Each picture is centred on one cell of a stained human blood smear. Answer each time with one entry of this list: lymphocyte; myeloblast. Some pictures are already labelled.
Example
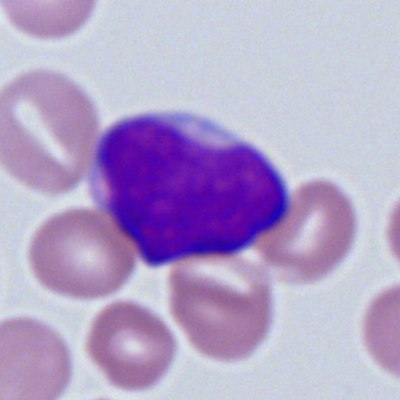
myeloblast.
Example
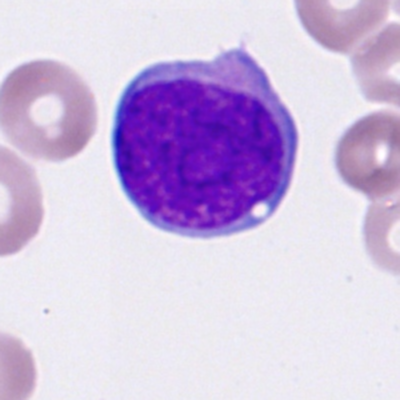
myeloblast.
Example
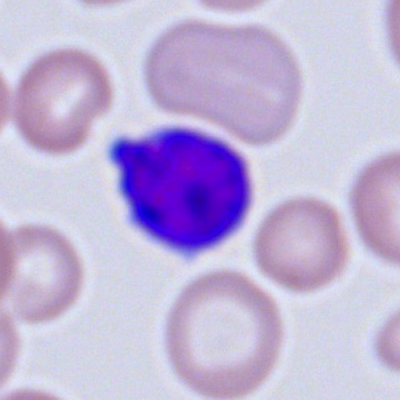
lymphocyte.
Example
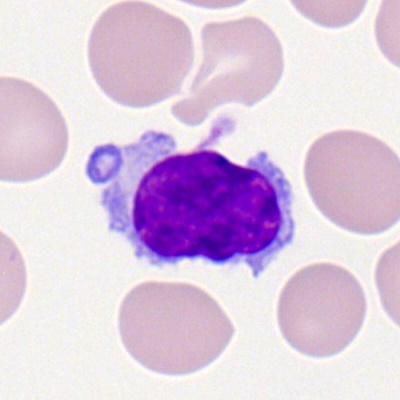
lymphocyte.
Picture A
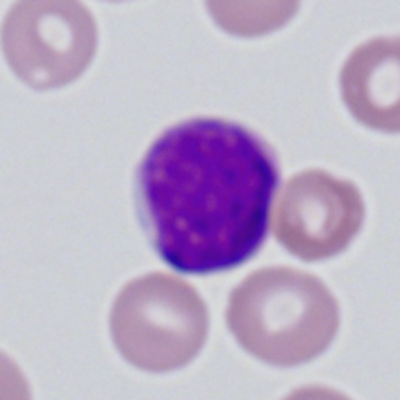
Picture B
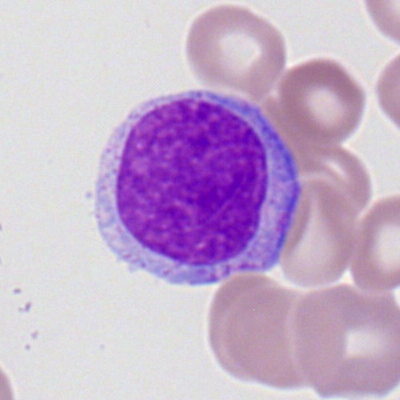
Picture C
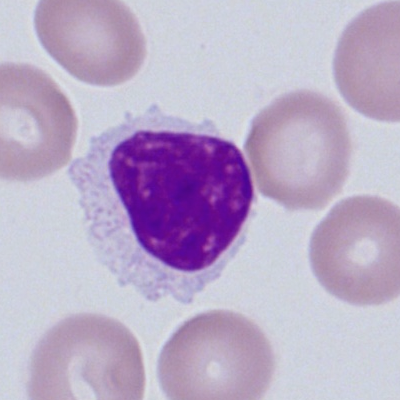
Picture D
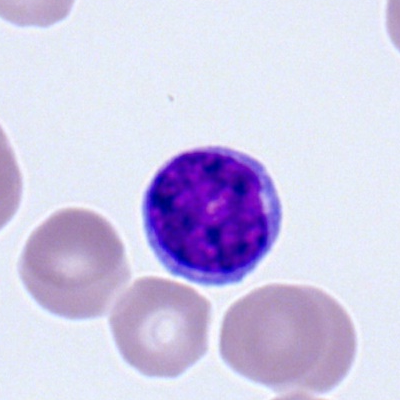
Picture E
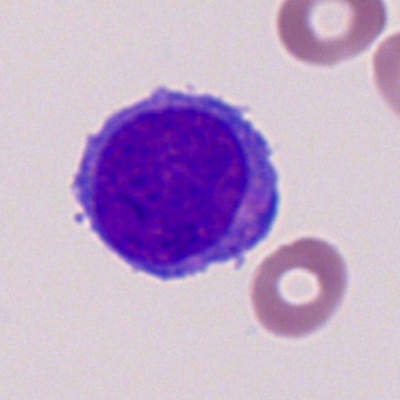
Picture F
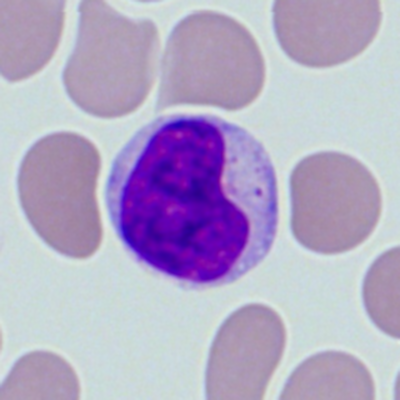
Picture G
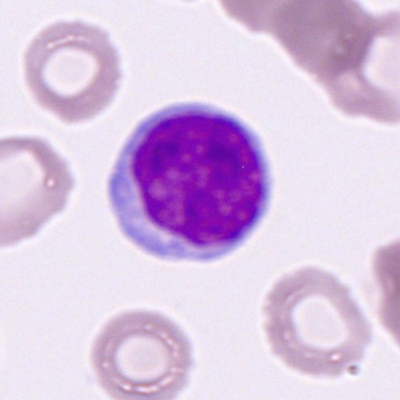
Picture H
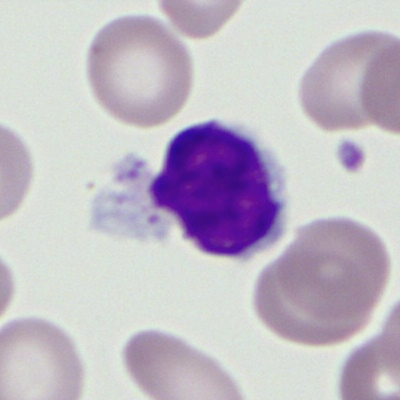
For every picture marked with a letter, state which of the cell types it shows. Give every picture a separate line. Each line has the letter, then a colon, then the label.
A: lymphocyte.
B: myeloblast.
C: lymphocyte.
D: lymphocyte.
E: myeloblast.
F: lymphocyte.
G: lymphocyte.
H: lymphocyte.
